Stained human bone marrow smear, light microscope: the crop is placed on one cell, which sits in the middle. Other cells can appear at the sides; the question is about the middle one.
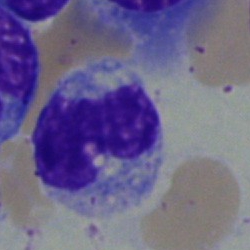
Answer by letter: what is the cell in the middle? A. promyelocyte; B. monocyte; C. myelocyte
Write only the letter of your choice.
B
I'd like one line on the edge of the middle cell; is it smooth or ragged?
Its surface contour is regular and smooth, without any protrusions.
